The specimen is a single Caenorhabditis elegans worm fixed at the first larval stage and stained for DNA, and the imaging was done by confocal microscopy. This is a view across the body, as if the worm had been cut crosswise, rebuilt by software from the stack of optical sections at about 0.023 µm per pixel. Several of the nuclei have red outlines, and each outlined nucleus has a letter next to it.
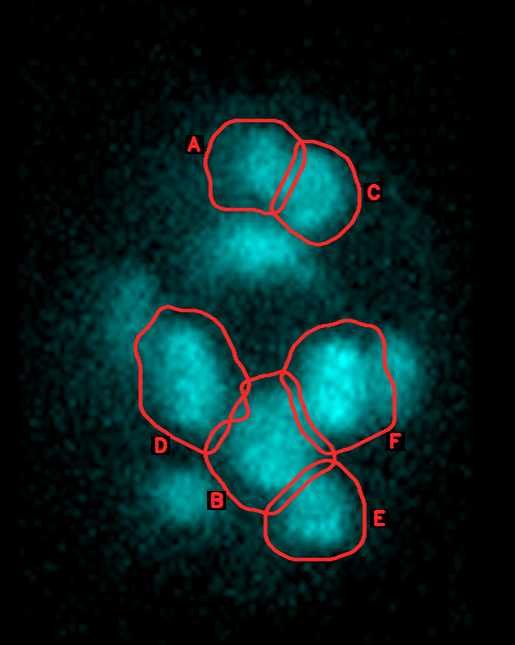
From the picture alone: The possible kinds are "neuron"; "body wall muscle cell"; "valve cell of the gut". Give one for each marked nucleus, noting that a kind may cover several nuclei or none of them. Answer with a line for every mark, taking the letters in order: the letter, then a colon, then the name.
A: neuron
B: valve cell of the gut
C: body wall muscle cell
D: valve cell of the gut
E: body wall muscle cell
F: valve cell of the gut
